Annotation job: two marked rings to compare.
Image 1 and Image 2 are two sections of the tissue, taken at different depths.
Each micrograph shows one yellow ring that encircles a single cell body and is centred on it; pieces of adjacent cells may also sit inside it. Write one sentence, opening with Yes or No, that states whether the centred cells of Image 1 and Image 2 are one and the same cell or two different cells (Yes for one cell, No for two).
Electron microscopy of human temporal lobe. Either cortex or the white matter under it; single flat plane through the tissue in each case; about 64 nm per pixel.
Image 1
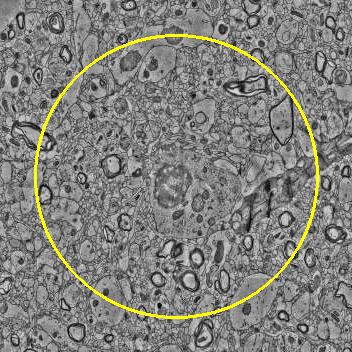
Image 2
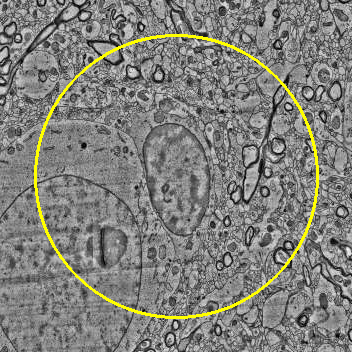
No, two different cells are marked by the two rings.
